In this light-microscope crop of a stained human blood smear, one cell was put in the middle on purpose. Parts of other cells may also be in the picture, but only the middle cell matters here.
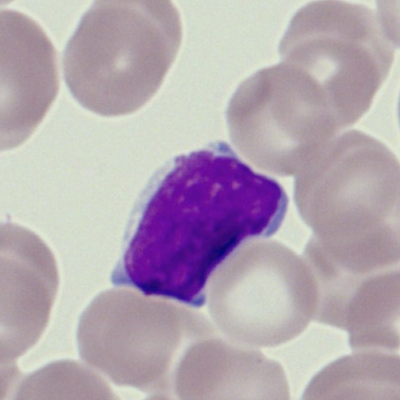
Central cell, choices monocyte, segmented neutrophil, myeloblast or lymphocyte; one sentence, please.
The cell at the central position in this crop is a lymphocyte.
